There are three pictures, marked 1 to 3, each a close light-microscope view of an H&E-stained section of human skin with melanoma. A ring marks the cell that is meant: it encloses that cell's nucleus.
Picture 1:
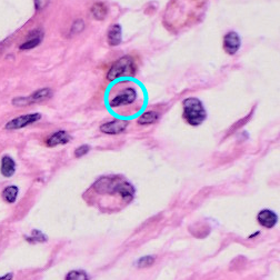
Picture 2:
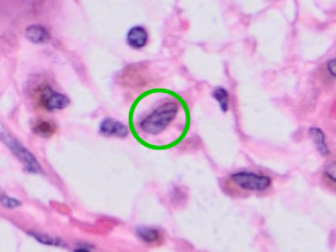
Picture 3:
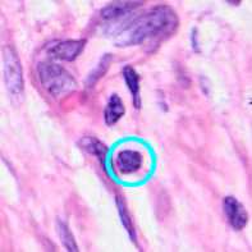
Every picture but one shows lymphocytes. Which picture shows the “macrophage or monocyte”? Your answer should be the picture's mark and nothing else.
2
